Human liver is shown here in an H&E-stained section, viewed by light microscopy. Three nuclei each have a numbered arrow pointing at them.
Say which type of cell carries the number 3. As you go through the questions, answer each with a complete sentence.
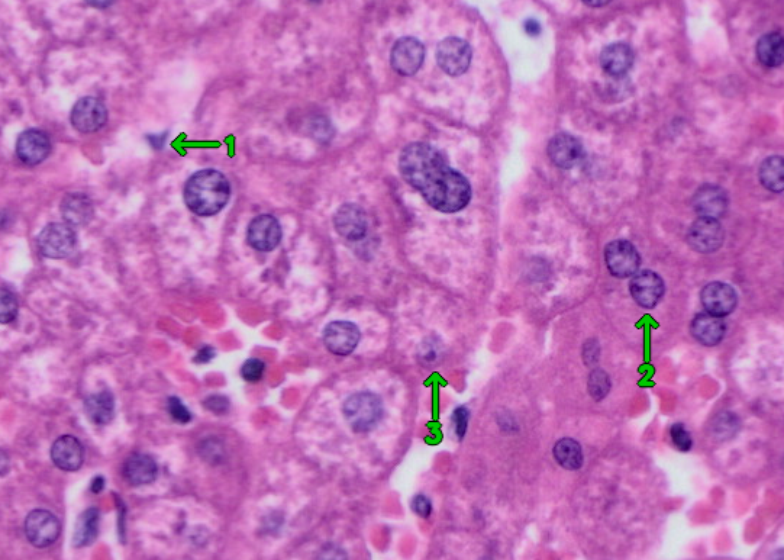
The cell whose nucleus carries the number 3 is a hepatocyte.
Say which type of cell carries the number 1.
The cell indicated by marker 1 is an endothelial cell in this section.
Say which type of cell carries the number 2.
Marked with the number 2, this cell is a hepatocyte.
